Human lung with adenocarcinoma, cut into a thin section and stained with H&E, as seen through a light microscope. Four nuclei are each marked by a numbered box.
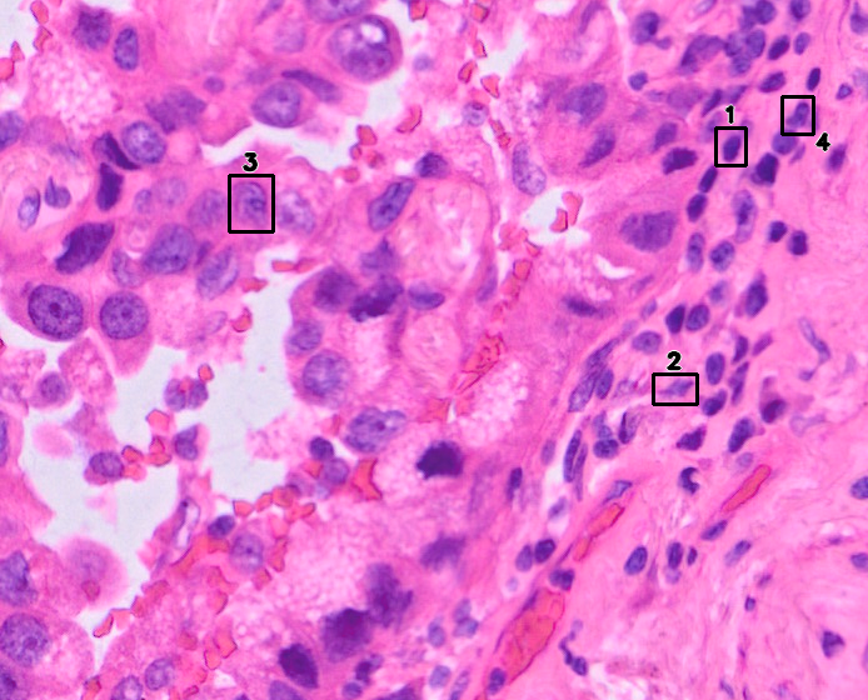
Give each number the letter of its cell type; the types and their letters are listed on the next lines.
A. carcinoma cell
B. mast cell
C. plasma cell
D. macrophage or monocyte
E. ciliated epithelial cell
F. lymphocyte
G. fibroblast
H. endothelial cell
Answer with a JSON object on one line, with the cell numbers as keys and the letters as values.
{"1": "F", "2": "F", "3": "A", "4": "F"}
